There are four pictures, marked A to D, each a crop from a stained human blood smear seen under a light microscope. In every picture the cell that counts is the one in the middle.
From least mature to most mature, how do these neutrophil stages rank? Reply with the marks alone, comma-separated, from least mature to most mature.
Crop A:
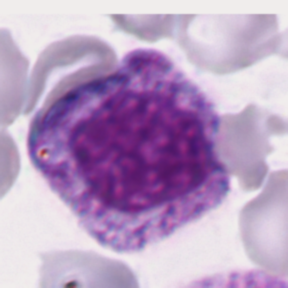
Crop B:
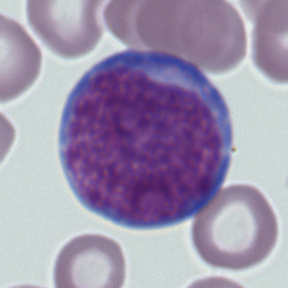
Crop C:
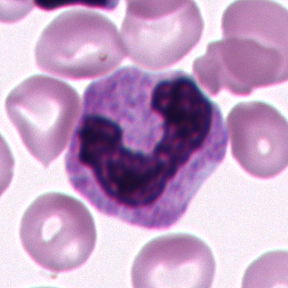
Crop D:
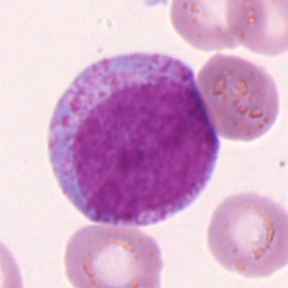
B, D, A, C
